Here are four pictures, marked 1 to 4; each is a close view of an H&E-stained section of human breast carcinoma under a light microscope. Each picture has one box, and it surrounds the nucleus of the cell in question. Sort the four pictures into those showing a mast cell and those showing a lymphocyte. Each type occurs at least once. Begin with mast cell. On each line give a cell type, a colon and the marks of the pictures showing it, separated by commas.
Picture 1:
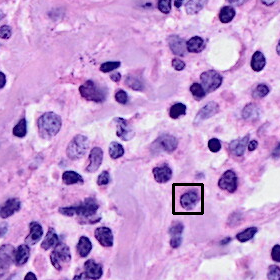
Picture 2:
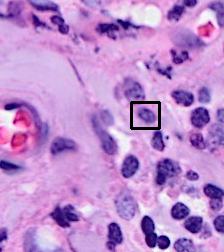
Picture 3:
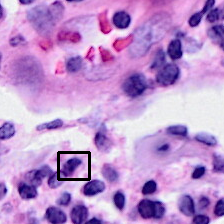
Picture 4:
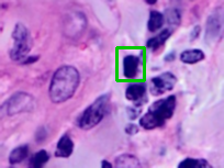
mast cell: 1, 2
lymphocyte: 3, 4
